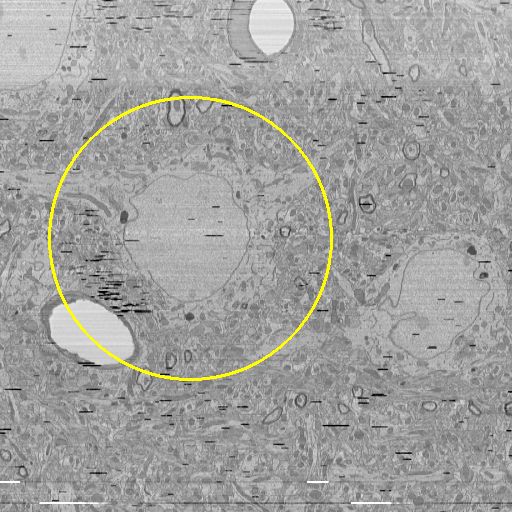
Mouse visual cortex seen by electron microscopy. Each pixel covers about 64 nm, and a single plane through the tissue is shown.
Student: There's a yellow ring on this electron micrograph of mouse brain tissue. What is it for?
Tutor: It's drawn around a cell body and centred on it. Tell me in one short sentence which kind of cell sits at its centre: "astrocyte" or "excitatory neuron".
The cell at the centre of the ring is an excitatory neuron.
